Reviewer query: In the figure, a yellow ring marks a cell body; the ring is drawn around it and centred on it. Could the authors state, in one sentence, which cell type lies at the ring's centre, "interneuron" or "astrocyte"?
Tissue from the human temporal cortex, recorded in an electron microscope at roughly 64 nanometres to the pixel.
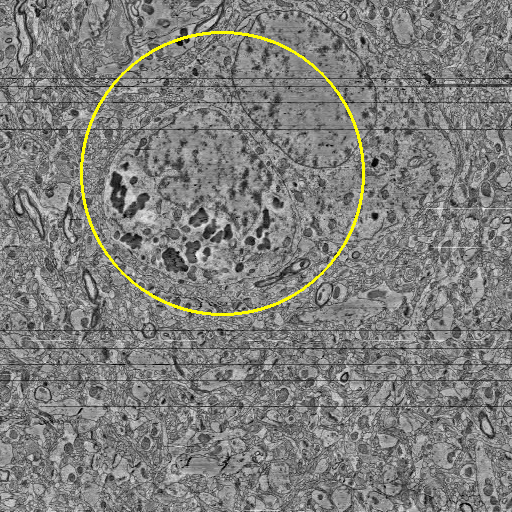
The ring is centred on an interneuron.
